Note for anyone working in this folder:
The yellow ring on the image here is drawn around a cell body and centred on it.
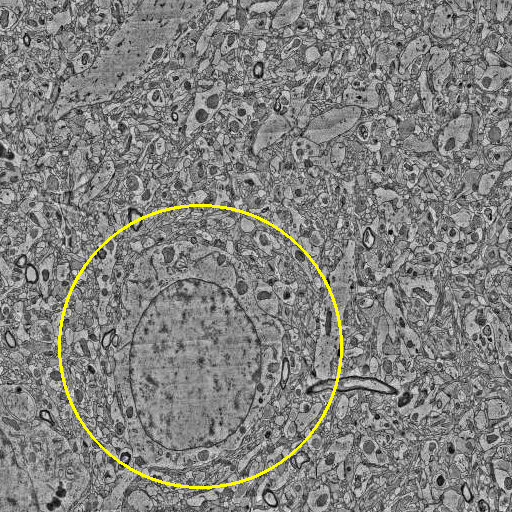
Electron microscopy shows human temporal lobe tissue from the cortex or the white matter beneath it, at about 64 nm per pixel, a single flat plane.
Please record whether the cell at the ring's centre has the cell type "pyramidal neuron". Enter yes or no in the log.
yes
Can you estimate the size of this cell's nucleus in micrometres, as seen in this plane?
The nucleus works out at approximately 11 by 9 micrometres in this plane.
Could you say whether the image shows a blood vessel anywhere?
No, none shows.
